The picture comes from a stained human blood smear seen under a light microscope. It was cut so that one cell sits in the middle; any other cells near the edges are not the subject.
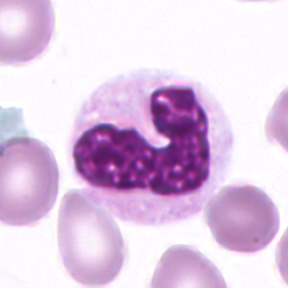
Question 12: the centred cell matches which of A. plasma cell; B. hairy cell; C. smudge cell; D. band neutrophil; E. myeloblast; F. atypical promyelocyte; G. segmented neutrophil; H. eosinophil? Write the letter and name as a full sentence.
The correct response is option D, naming the cell in the middle as a band neutrophil.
